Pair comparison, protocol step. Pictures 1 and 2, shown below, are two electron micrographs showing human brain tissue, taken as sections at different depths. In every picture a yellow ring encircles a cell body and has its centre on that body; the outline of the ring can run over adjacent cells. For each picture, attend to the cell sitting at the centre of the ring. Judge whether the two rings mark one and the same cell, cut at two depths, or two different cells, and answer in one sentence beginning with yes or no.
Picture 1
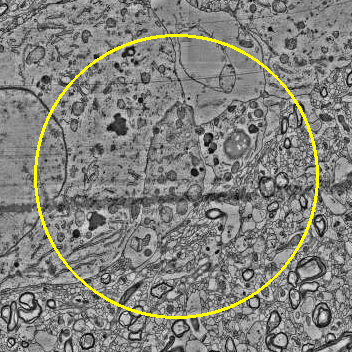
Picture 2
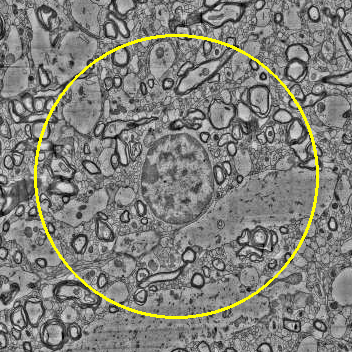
No, each ring in the micrograph marks a distinct cell.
